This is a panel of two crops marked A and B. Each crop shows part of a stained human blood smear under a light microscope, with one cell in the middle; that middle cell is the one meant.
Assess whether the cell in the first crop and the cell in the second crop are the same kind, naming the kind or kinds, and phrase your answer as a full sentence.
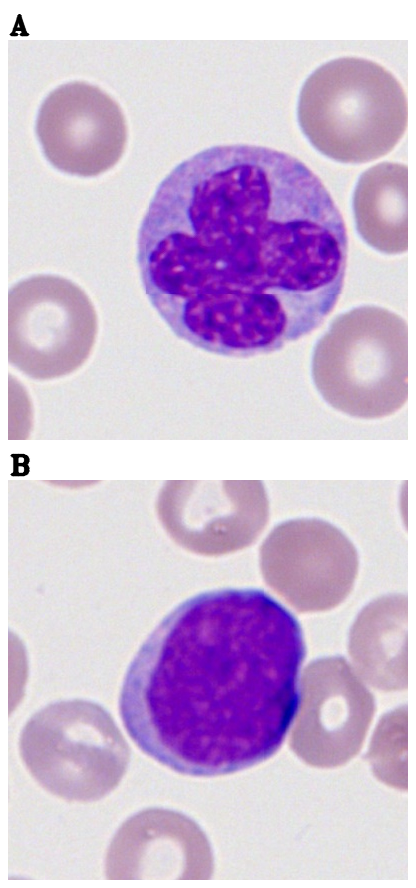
No, crop A is home to a monocyte, and crop B to a myeloblast.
